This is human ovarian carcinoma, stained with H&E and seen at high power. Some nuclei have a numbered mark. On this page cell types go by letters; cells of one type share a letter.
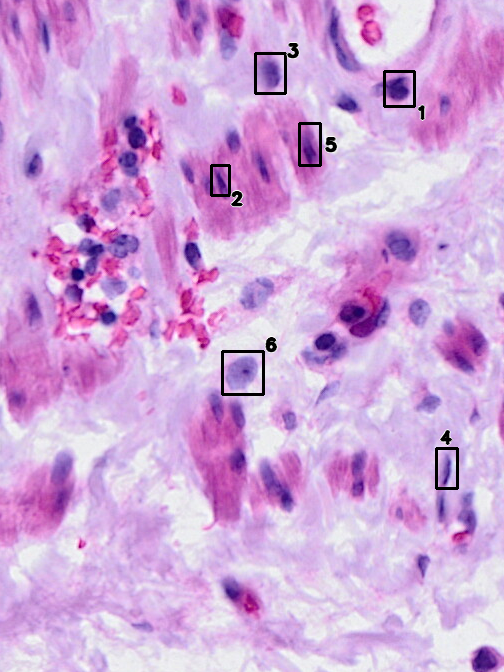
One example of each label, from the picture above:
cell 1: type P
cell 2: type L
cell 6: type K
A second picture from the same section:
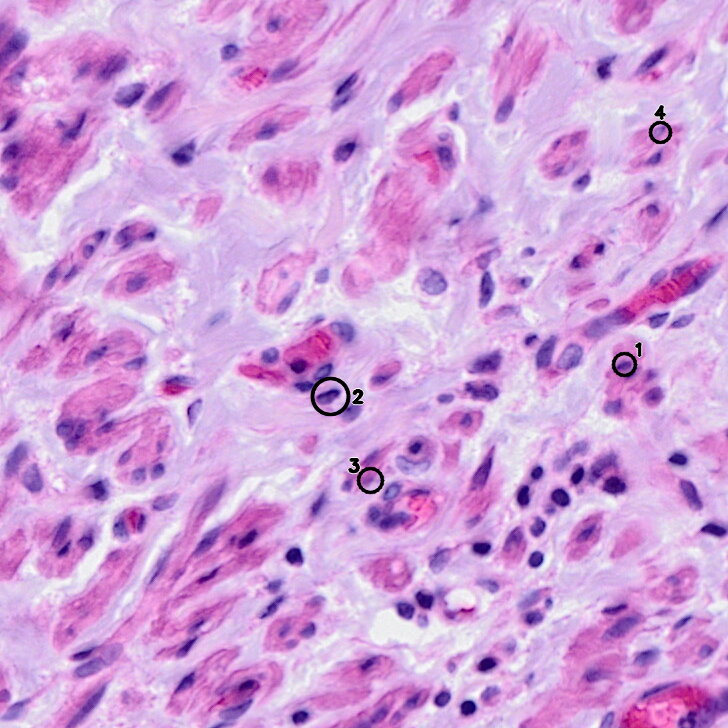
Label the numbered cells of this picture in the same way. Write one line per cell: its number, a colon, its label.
1: type L
2: type P
3: type L
4: type L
